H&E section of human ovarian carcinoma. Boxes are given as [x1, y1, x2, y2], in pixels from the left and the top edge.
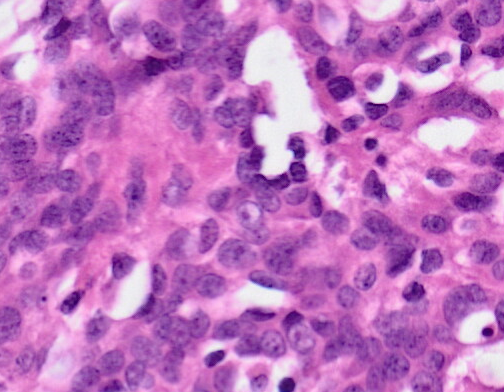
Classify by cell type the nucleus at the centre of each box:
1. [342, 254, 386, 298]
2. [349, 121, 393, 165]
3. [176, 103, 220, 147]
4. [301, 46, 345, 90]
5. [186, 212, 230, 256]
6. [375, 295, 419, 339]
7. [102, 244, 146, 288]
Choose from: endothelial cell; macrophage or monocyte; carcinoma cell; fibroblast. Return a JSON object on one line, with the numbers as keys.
{"1": "macrophage or monocyte", "2": "macrophage or monocyte", "3": "carcinoma cell", "4": "carcinoma cell", "5": "macrophage or monocyte", "6": "carcinoma cell", "7": "macrophage or monocyte"}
